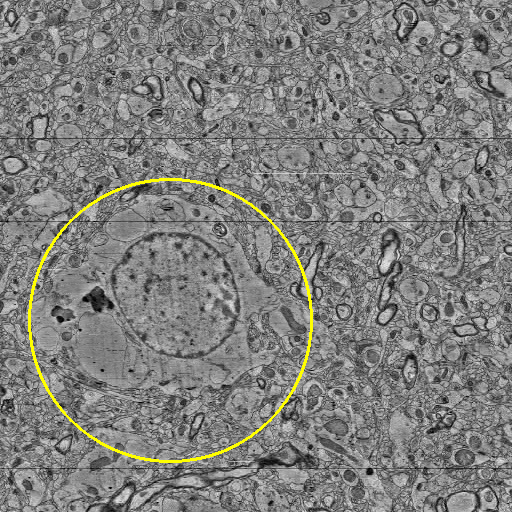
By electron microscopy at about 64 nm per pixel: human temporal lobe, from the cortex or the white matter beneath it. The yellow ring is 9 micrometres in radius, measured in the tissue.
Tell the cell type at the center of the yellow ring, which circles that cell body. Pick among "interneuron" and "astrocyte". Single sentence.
The ring is centered on the body of an astrocyte.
